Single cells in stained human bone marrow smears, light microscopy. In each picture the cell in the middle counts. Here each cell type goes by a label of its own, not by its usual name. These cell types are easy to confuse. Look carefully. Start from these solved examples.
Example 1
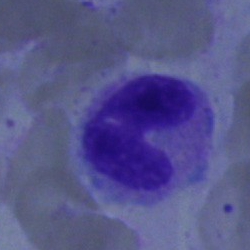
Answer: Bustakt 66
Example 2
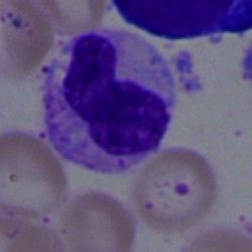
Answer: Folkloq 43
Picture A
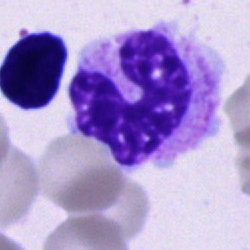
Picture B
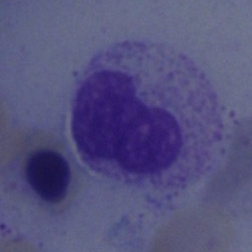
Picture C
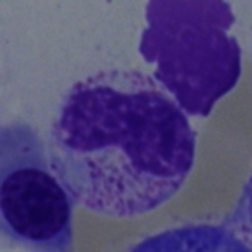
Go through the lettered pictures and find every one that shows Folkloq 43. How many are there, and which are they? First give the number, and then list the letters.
2, namely B, C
